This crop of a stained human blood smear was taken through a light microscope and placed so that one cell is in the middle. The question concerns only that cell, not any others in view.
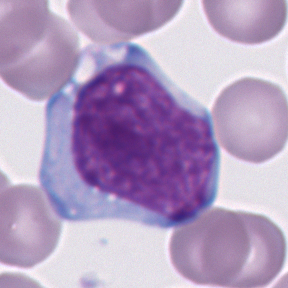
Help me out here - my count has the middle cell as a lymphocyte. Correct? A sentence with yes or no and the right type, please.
No, rather than a lymphocyte, the central cell is a blast.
